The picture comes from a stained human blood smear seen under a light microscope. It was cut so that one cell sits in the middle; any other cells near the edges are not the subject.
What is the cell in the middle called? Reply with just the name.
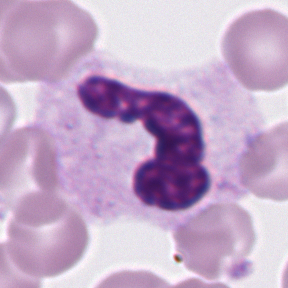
segmented neutrophil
